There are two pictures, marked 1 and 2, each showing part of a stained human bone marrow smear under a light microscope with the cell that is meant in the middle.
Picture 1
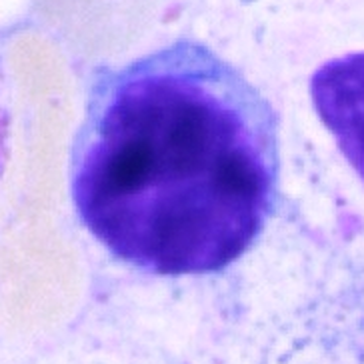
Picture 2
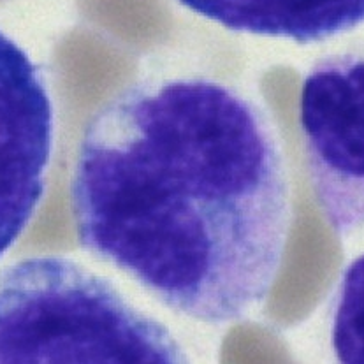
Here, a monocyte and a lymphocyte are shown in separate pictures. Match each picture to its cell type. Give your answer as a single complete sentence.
The cell in picture 1 is a lymphocyte, and the one in picture 2 is a monocyte.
